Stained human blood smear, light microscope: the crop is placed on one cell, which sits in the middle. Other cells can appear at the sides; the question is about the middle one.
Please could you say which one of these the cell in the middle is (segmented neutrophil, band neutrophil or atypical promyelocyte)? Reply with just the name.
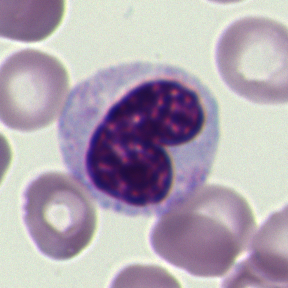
band neutrophil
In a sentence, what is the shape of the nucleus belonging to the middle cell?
One compact mass makes up the whole nucleus, round, oval or kidney-shaped.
